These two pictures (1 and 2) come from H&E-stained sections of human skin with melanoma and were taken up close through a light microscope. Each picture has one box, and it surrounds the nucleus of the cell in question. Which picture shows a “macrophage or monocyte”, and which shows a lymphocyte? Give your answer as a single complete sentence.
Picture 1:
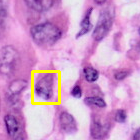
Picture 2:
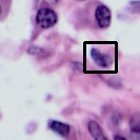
Picture 1 shows a “macrophage or monocyte” and picture 2 shows a lymphocyte.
